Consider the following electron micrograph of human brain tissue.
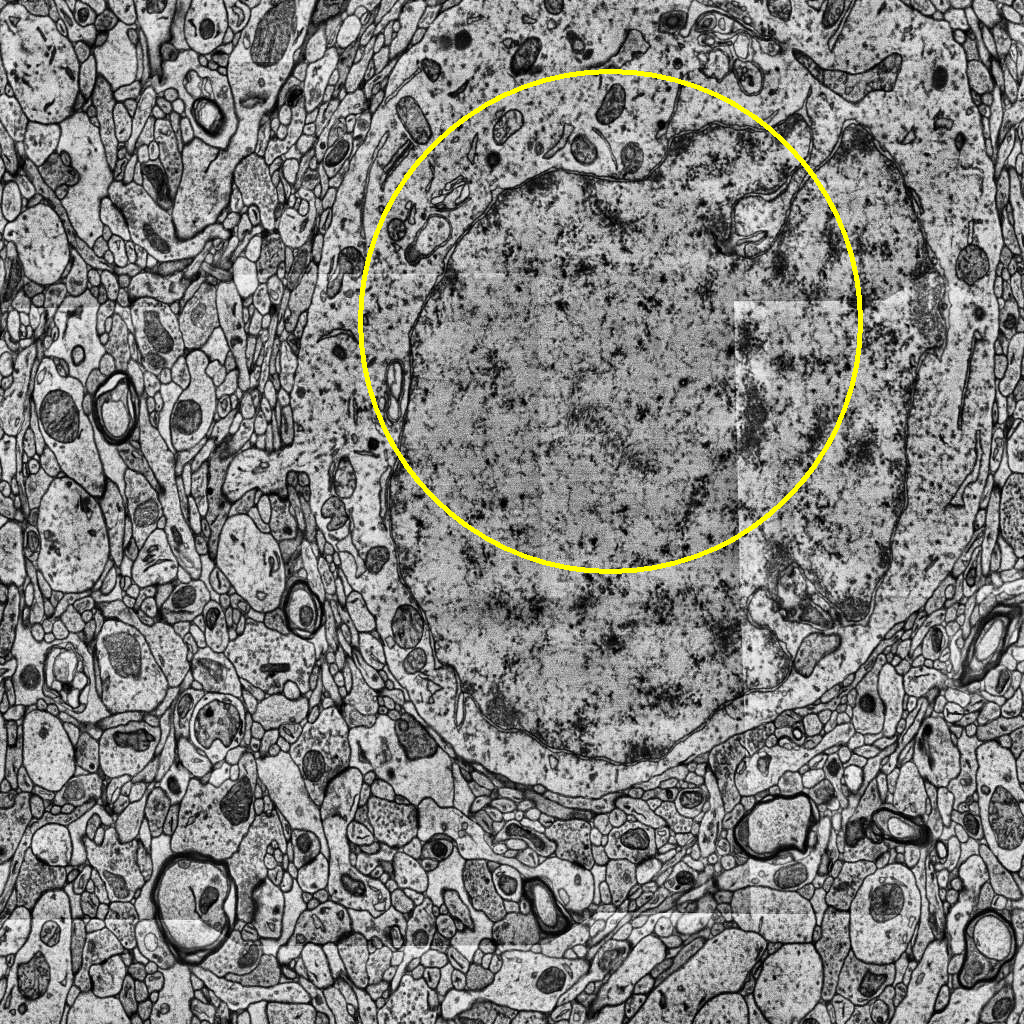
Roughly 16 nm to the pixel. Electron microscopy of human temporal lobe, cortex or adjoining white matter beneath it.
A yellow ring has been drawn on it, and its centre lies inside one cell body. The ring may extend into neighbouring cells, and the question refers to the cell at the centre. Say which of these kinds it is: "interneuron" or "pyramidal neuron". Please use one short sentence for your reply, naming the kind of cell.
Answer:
The centre of the ring falls on an interneuron.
